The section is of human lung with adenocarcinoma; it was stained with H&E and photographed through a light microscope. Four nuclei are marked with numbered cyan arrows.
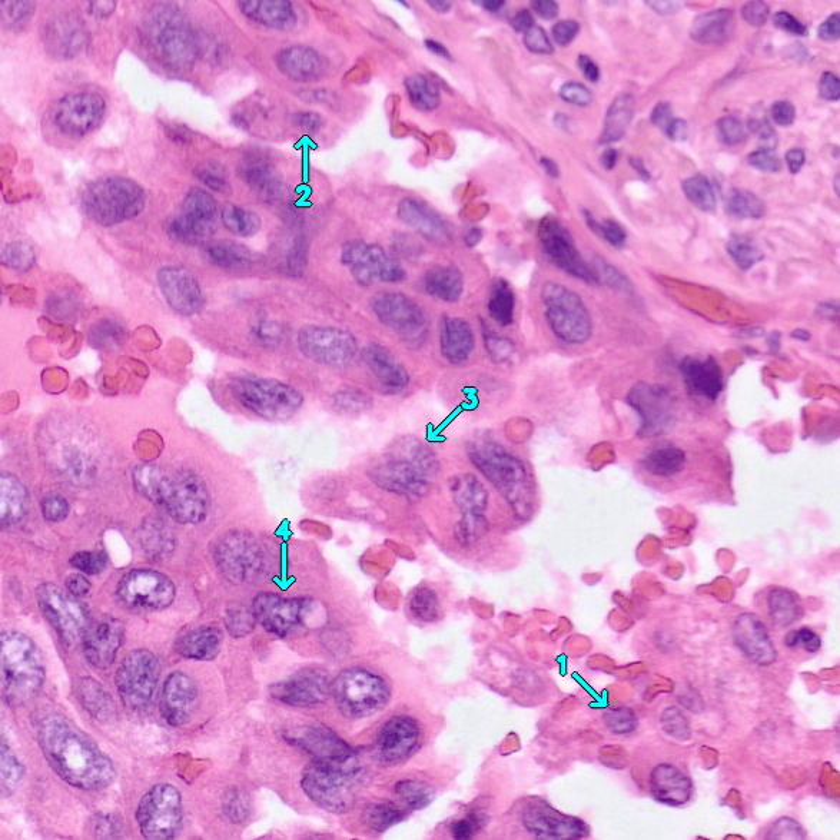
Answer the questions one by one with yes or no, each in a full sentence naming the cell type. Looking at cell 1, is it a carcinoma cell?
No, cell 1 is a macrophage or monocyte; it is not a carcinoma cell.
